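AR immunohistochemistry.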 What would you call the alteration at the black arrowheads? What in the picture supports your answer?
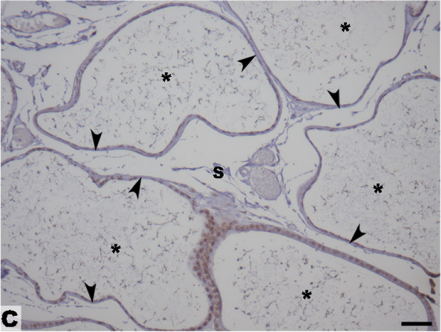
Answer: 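The lining at the arrowheads is a very thin, flattened layer. Elsewhere in the same panel the lining is thicker with a row of brown nuclei.
Answer: atrophied epithelium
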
